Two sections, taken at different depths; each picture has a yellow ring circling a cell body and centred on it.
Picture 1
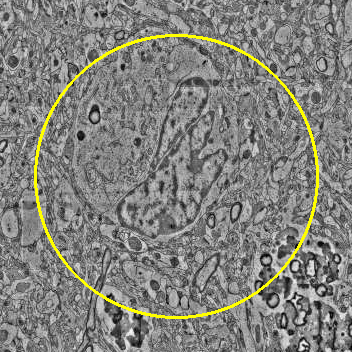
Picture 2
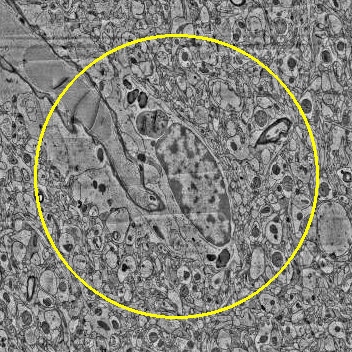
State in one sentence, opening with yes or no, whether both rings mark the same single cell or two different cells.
No, the two yellow rings each circle a different cell.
